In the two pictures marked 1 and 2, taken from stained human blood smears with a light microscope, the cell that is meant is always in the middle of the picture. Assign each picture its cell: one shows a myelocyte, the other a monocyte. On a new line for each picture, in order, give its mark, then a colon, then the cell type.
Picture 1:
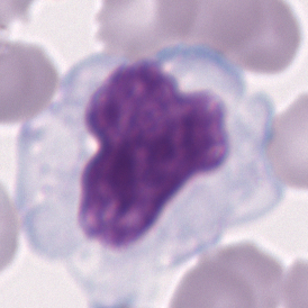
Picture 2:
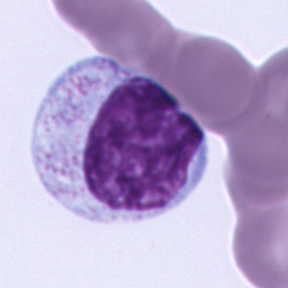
1: monocyte
2: myelocyte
